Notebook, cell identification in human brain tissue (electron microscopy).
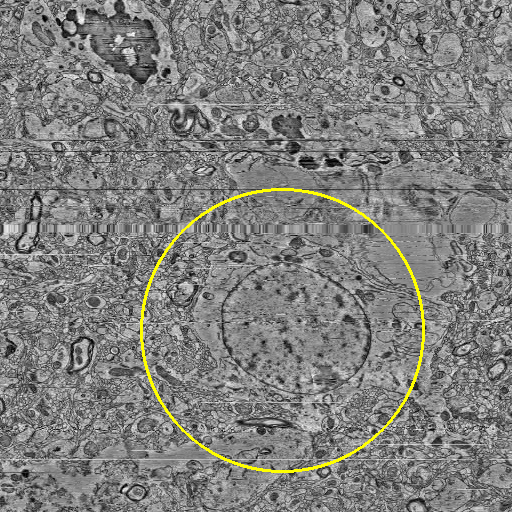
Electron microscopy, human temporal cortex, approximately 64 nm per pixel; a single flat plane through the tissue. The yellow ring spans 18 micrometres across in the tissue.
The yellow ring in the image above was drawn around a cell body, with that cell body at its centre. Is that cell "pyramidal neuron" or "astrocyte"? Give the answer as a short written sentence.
The cell in the ring is an astrocyte.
